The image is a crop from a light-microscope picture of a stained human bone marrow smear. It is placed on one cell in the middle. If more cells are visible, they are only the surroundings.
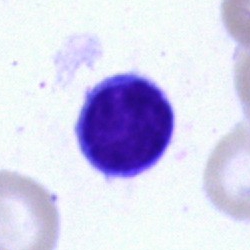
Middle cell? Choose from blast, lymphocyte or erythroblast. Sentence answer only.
By classification, the middle cell of this crop is a lymphocyte.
